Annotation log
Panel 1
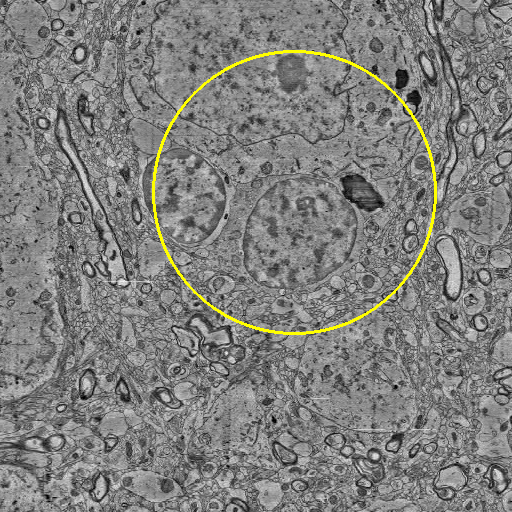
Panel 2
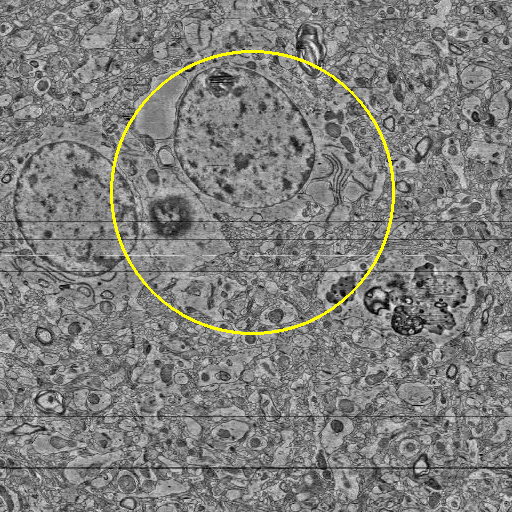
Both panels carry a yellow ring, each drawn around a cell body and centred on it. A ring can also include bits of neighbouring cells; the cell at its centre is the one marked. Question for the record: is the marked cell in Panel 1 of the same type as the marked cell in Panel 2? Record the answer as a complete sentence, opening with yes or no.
No, the marked cells in Panel 1 and Panel 2 are of two types.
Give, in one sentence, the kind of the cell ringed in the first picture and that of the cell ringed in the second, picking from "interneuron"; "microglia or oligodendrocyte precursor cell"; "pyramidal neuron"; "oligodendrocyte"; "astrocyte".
For the first picture it is an oligodendrocyte; for the second, an astrocyte.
